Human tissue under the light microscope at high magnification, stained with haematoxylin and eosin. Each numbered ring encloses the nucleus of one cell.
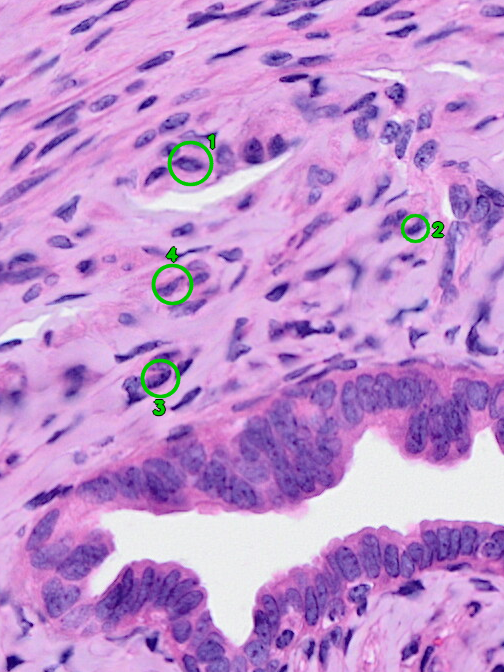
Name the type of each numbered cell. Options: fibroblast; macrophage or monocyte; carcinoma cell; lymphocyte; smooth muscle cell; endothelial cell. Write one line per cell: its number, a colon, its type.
1: endothelial cell
2: smooth muscle cell
3: endothelial cell
4: smooth muscle cell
